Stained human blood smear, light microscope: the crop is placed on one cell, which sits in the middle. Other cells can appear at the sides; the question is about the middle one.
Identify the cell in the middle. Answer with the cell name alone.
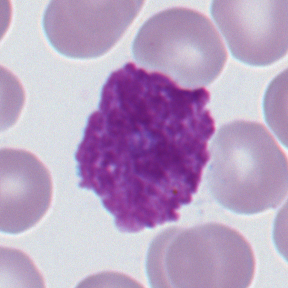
smudge cell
